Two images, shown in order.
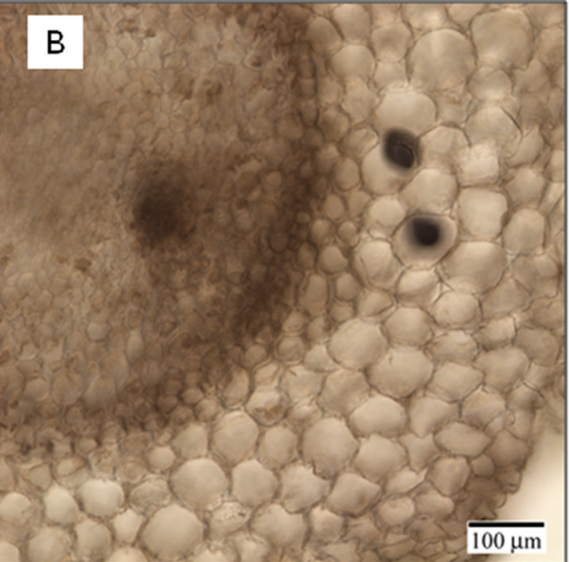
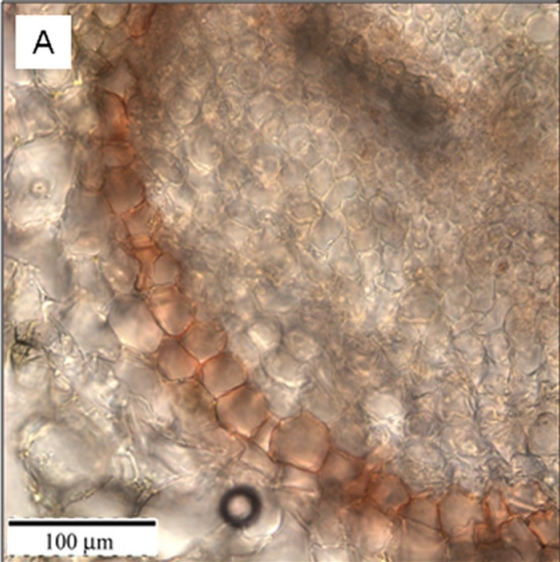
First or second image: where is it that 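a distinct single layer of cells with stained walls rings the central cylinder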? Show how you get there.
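The second image. First image: no distinct stained cell layer borders the darker central region; it grades into the pale outer cells. Second image: a clear curved row of cells with orange-red walls borders the inner region.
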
